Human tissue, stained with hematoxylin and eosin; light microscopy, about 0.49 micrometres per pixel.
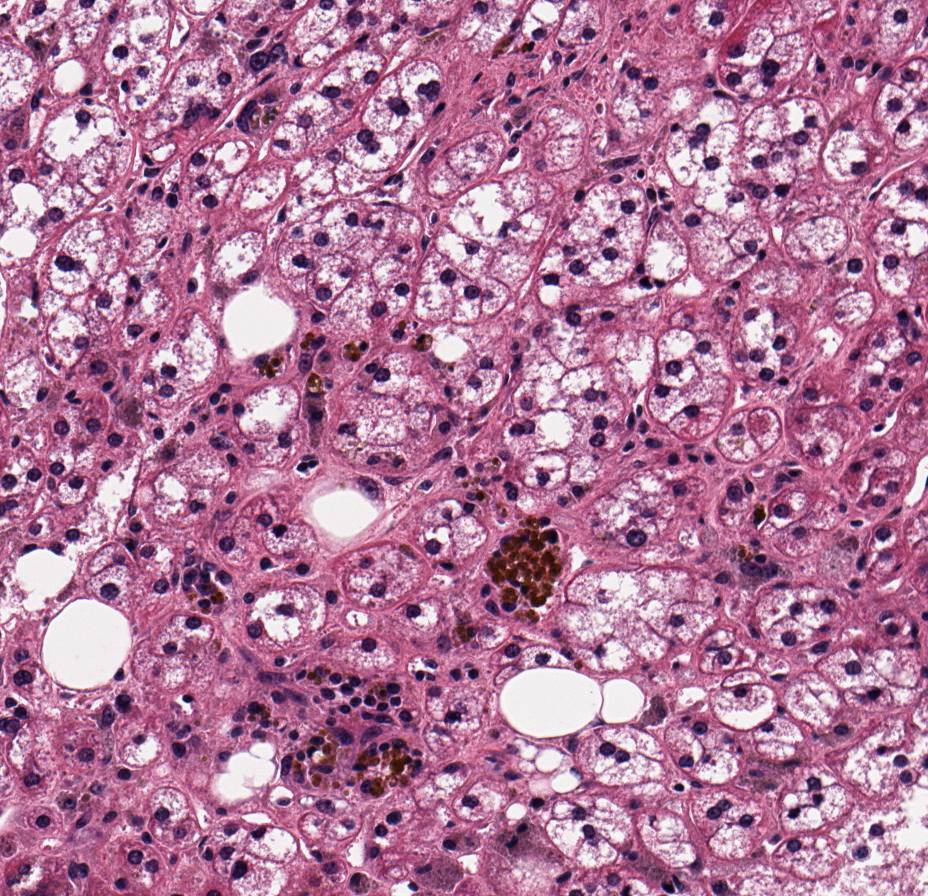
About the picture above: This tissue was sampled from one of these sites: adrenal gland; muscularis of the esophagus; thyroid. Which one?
adrenal gland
